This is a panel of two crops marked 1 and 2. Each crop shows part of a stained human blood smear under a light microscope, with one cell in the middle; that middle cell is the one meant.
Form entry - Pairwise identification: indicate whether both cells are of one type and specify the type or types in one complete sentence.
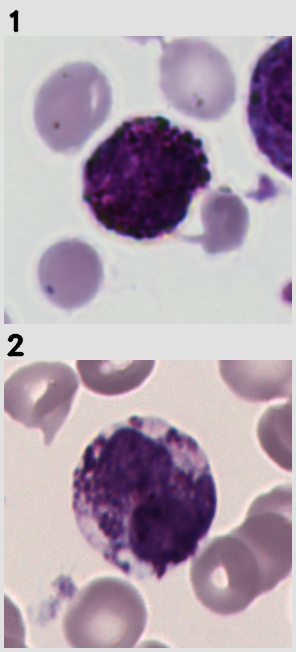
Yes, both crops show basophils, and the two match.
